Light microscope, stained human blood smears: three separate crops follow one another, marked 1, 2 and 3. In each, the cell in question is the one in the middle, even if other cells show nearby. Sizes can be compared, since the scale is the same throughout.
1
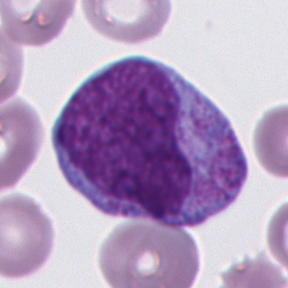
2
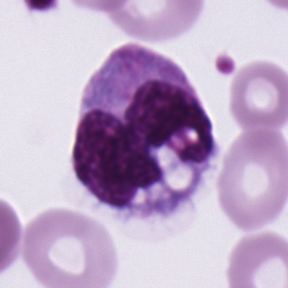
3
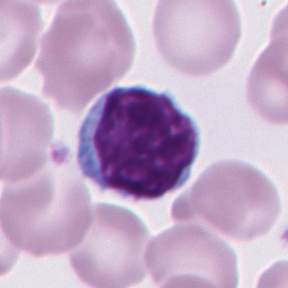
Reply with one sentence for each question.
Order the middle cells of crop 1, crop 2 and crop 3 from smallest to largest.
Going up, they run 3, 2, 1.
